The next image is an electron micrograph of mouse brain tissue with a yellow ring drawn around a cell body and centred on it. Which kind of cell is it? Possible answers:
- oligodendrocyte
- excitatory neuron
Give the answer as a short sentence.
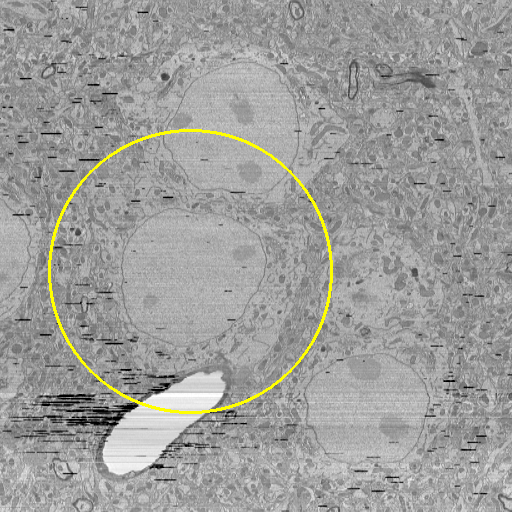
In the ring's centre is an excitatory neuron.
